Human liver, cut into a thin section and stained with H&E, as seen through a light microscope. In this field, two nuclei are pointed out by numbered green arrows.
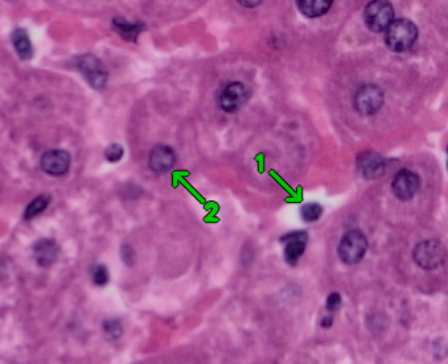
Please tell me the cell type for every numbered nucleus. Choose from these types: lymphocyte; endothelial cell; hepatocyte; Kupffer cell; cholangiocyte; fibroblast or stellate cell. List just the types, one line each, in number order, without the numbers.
lymphocyte
hepatocyte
